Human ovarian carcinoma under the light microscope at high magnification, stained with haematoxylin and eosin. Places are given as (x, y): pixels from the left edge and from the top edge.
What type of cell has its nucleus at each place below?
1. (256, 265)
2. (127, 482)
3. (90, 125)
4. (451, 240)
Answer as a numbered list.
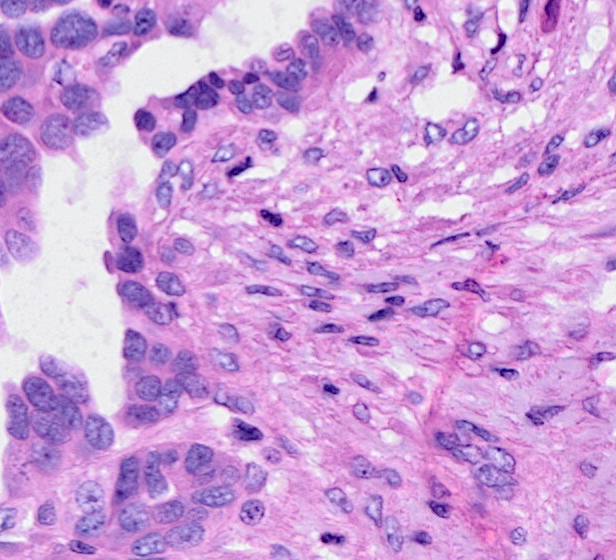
1. fibroblast
2. carcinoma cell
3. carcinoma cell
4. fibroblast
